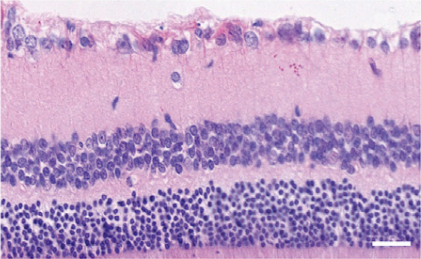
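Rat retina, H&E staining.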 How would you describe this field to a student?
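A thin pink nerve fiber layer lies above a single row of scattered ganglion cells with round, pale nuclei. Beneath is a broad, pink, finely fibrillar inner plexiform layer, then a band of several rows of purple nuclei forming the inner nuclear layer. A thin pale outer plexiform layer separates this from the outer nuclear layer, a thick band of densely packed small, dark, round nuclei. The layers are compact and regularly arranged.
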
